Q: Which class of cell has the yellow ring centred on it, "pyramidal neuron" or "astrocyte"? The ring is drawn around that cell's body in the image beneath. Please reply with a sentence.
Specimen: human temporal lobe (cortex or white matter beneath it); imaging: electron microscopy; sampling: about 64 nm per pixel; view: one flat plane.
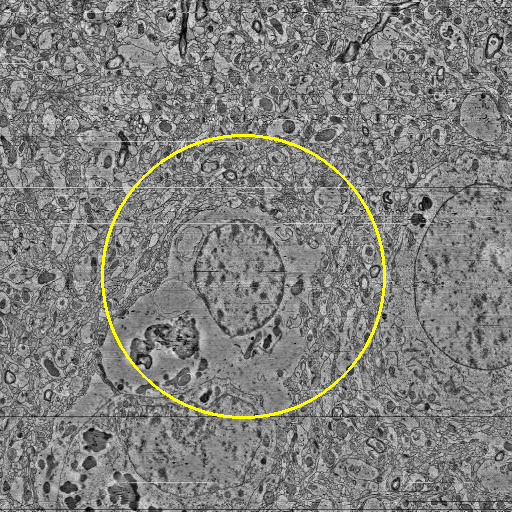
It is centred on an astrocyte.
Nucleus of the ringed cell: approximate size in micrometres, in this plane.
The ringed cell's nucleus is about 8 micrometres long and 6 micrometres wide in this plane.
